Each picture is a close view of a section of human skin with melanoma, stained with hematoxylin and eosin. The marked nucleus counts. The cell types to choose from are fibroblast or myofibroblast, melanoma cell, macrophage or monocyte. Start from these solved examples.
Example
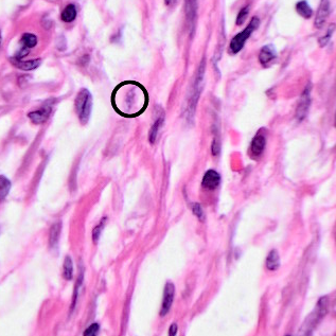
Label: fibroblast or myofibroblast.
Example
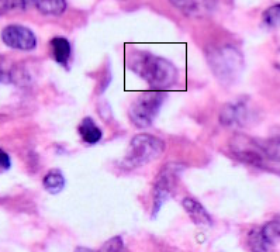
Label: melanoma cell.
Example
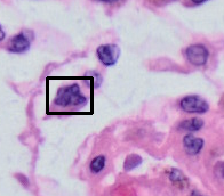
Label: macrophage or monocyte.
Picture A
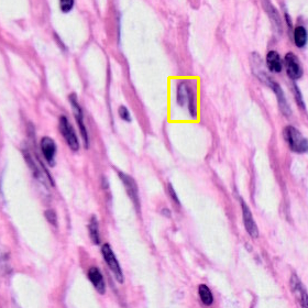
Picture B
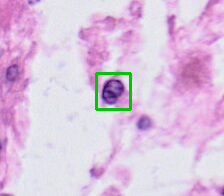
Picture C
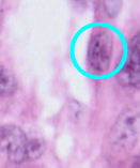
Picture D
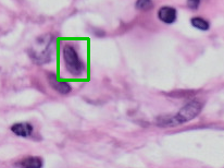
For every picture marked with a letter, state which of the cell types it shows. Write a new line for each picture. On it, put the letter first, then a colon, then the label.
A: fibroblast or myofibroblast.
B: macrophage or monocyte.
C: melanoma cell.
D: macrophage or monocyte.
